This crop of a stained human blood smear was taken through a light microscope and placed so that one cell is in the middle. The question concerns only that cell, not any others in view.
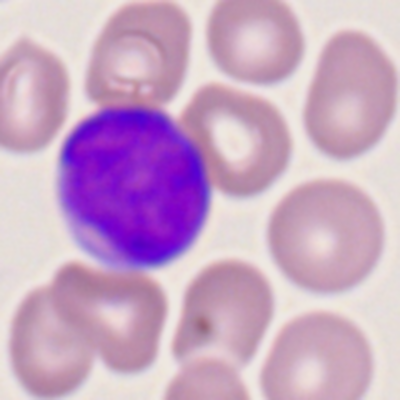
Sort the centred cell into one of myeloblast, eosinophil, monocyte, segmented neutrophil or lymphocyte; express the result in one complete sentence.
In the central position of this crop, the cell is a myeloblast.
